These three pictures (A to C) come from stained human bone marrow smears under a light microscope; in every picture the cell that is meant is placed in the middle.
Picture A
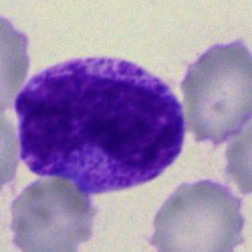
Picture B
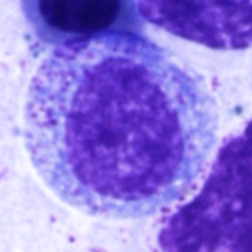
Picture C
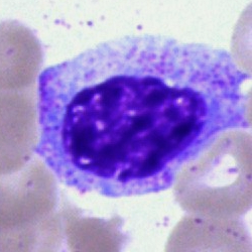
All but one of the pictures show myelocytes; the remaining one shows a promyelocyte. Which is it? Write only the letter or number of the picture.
B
